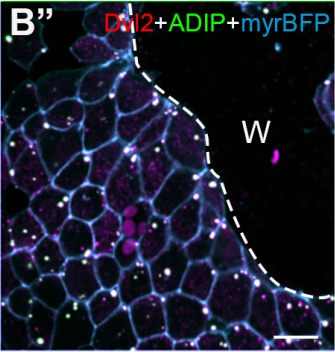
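Small polygonal cells with thin blue borders fill the left part of the field, while the area beyond the dashed line is dark and holds no cells. Cells next to the wound edge are somewhat stretched along it. A few larger magenta blobs lie within cells away from the edge.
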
